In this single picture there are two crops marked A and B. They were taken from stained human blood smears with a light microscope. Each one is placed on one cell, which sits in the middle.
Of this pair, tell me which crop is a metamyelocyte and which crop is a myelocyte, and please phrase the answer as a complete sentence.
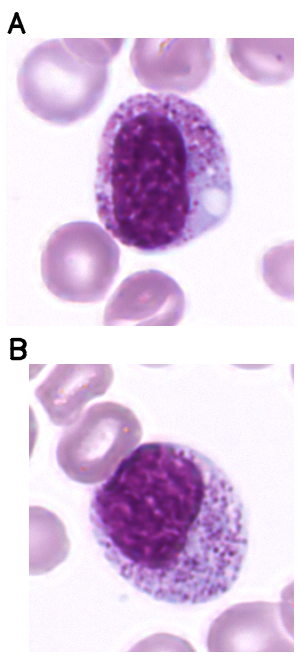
Within crop A sits a metamyelocyte, and within crop B sits a myelocyte.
